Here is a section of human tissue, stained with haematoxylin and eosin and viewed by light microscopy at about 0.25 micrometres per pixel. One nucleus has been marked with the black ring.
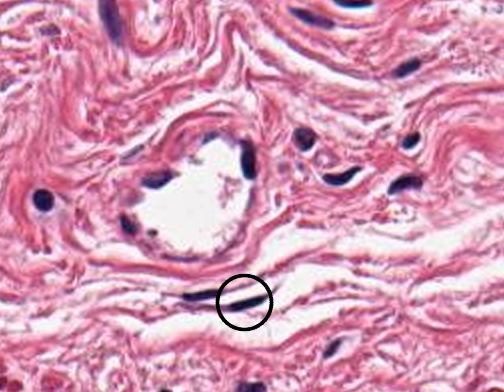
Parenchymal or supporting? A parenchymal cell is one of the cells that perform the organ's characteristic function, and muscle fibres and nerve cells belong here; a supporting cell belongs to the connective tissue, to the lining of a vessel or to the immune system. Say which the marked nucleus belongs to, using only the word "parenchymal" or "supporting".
supporting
